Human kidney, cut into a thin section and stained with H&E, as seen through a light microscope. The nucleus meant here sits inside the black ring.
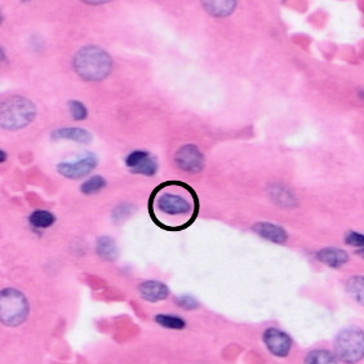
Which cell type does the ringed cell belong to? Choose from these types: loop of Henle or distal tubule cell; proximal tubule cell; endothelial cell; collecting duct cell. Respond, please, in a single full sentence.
In cell-type terms, the ringed cell is a loop of Henle or distal tubule cell.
